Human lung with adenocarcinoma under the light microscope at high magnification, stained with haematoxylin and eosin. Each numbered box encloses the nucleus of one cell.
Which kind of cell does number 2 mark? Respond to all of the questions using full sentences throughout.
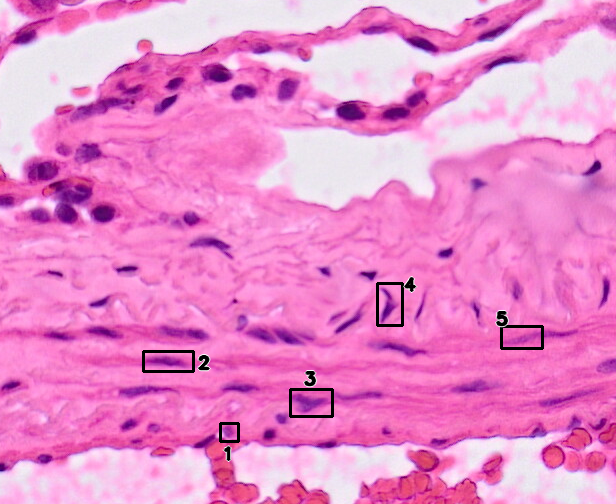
In the tissue shown, cell 2 is a smooth muscle cell or pericyte.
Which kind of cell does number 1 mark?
The cell indicated with the number 1 is classed as an endothelial cell.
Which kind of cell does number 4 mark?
Numbered cell 4 is a fibroblast in this tissue section.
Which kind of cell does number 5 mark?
The cell assigned the number 5 is a smooth muscle cell or pericyte.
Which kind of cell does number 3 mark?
Looking at the numbered marks, cell 3 is a smooth muscle cell or pericyte.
